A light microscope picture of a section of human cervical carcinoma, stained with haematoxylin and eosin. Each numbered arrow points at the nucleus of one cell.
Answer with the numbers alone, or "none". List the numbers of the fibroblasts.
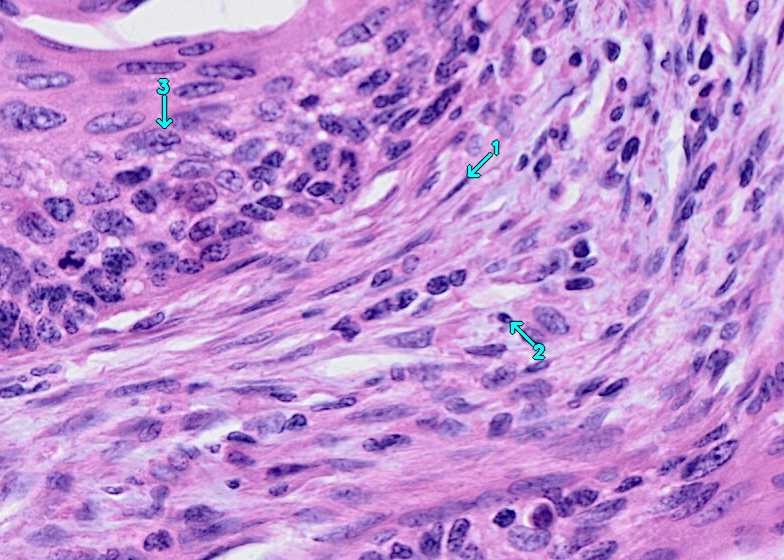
1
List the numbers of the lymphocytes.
2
